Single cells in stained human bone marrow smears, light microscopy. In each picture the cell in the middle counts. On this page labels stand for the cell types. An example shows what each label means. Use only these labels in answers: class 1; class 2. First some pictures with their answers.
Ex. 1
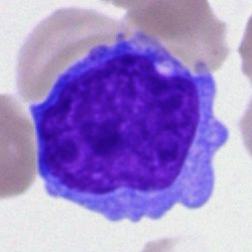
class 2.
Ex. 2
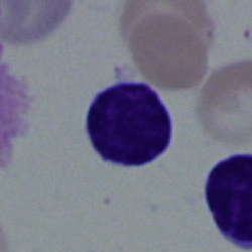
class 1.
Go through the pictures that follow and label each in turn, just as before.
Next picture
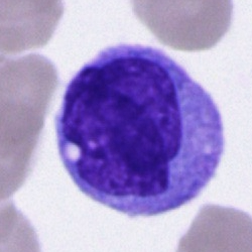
class 2.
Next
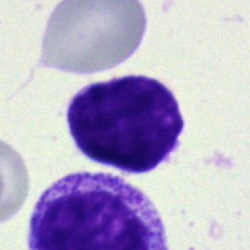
class 1.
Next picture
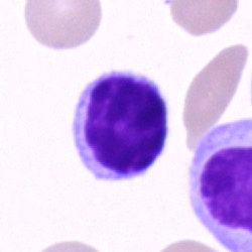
class 1.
